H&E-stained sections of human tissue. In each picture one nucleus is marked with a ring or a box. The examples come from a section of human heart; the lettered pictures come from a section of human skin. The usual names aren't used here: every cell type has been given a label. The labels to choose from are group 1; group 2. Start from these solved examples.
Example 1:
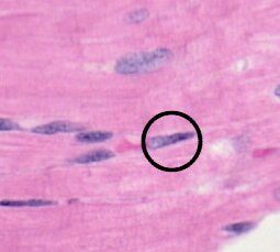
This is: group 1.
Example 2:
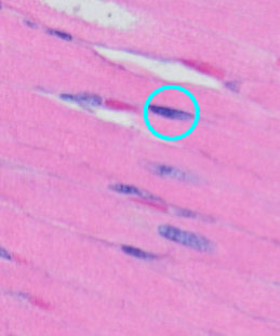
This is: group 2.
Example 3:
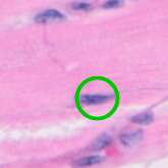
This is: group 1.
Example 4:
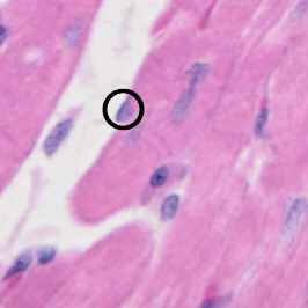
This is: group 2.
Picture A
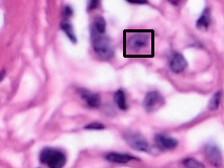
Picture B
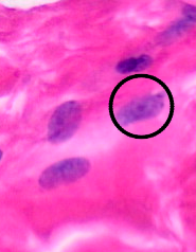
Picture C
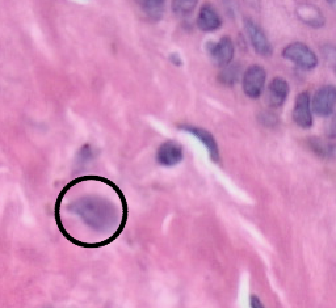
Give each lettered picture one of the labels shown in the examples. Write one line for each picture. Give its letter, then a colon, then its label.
A: group 1.
B: group 2.
C: group 2.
